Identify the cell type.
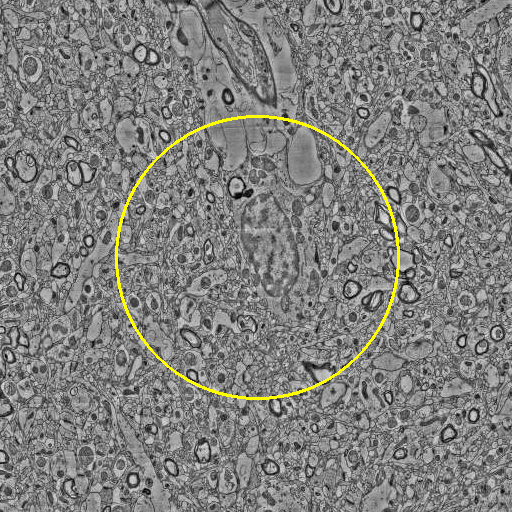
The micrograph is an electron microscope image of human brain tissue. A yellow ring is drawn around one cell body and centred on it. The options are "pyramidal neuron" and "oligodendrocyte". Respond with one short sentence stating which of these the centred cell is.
The cell body in the ring belongs to an oligodendrocyte.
